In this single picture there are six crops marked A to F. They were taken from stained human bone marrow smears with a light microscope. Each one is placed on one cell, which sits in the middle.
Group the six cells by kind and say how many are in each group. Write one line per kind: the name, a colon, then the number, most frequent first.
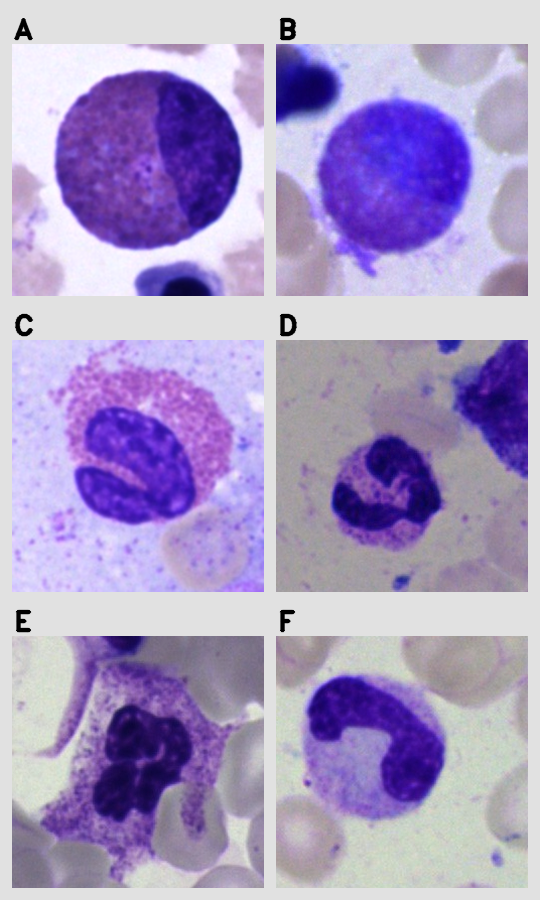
eosinophil: 3
segmented neutrophil: 2
band neutrophil: 1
